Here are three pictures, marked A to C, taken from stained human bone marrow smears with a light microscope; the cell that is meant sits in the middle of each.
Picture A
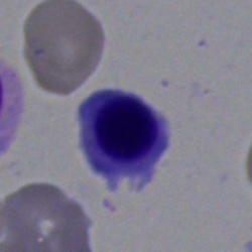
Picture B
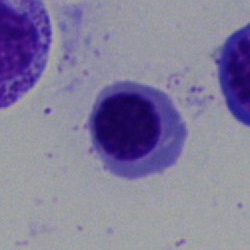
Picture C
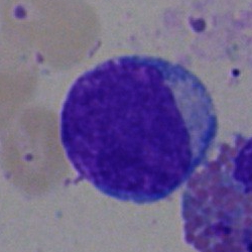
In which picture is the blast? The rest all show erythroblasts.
C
